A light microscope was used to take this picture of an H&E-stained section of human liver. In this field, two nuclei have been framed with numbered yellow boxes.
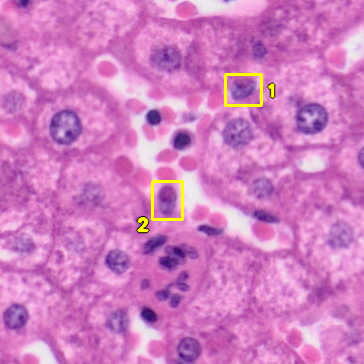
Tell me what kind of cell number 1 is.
endothelial cell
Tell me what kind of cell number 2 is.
Kupffer cell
